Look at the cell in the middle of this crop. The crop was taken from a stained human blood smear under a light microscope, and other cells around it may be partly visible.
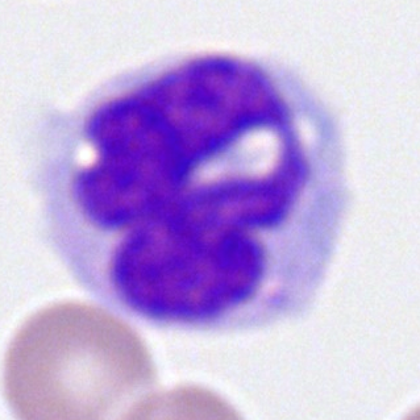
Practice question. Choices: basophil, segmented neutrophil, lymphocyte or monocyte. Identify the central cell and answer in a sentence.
At the crop's centre, the cell is a monocyte.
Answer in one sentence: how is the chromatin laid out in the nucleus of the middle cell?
Answer: the chromatin in this nucleus is coarsely clumped.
